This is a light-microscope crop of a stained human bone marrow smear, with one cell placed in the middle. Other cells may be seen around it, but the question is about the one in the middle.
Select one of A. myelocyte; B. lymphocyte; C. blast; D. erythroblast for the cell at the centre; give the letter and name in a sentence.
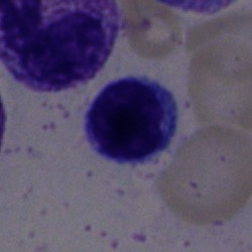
The correct option is B, as the central cell is a lymphocyte.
